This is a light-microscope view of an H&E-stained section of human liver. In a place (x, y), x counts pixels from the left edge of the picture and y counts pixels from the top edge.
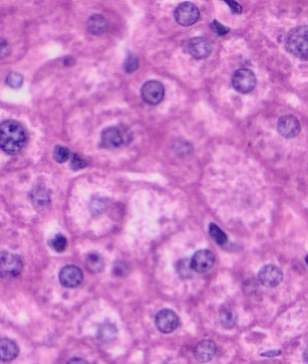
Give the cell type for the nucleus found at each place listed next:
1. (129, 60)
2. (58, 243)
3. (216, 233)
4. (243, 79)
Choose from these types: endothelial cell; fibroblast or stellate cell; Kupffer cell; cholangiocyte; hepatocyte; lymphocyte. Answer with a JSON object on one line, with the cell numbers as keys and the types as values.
{"1": "endothelial cell", "2": "lymphocyte", "3": "fibroblast or stellate cell", "4": "hepatocyte"}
